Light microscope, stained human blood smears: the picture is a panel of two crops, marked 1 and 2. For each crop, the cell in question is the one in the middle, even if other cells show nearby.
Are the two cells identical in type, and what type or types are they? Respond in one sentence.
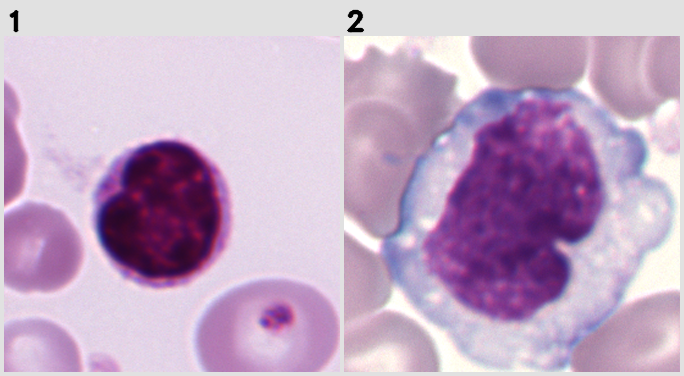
No, crop 1 contains a large granular lymphocyte, and crop 2 contains a monocyte.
